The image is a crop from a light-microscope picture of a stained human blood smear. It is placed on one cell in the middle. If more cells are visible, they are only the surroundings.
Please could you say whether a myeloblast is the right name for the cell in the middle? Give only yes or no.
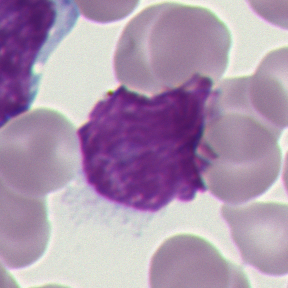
no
